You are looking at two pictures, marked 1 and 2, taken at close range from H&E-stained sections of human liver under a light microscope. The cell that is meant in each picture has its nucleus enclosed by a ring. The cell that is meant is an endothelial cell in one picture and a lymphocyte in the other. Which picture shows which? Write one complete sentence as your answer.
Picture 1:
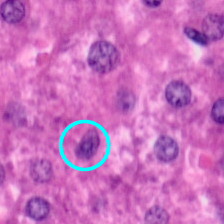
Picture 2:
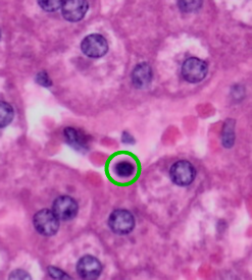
Picture 1 shows an endothelial cell and picture 2 shows a lymphocyte.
